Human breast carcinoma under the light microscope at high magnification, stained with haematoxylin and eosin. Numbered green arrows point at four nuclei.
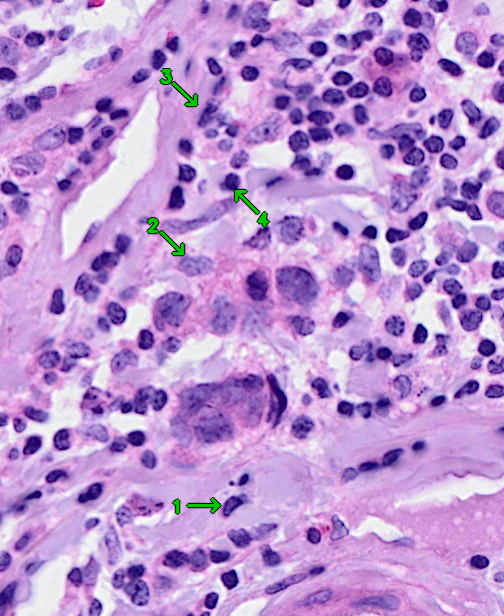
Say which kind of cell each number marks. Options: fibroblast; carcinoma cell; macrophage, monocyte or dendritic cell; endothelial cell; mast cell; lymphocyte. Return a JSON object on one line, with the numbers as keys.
{"1": "lymphocyte", "2": "macrophage, monocyte or dendritic cell", "3": "lymphocyte", "4": "lymphocyte"}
